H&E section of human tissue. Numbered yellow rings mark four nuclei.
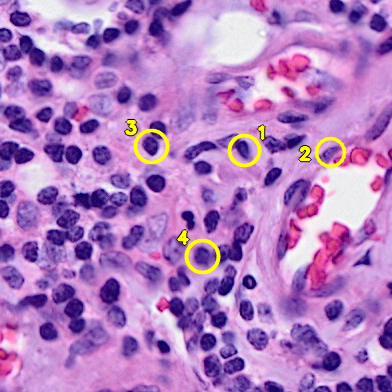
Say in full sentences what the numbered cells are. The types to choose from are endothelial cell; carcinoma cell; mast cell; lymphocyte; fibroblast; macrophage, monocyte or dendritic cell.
Cell 1 is a lymphocyte, cell 2 is an endothelial cell, cell 3 is a lymphocyte and cell 4 is a lymphocyte.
